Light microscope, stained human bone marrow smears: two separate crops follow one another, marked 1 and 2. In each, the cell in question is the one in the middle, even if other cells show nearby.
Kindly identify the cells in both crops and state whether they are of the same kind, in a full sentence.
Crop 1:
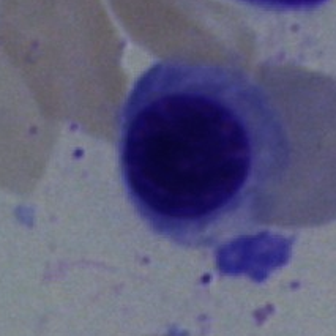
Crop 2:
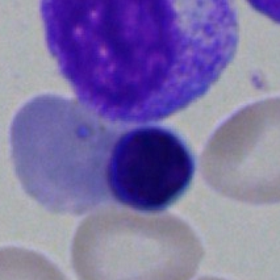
Yes, the pair of crops both show erythroblasts.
